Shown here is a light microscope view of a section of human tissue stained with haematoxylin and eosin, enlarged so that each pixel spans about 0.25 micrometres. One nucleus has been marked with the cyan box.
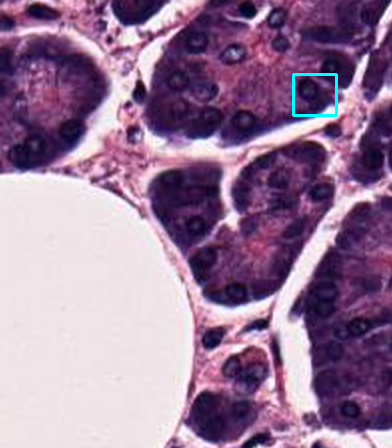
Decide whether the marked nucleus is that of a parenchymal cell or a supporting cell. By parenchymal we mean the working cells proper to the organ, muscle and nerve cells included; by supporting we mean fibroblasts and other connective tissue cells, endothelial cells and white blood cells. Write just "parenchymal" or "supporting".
parenchymal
